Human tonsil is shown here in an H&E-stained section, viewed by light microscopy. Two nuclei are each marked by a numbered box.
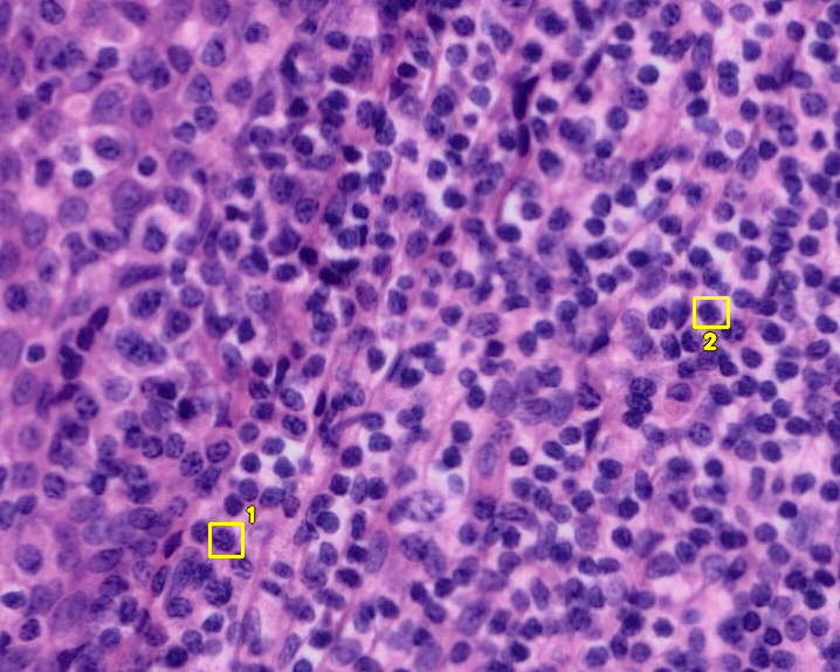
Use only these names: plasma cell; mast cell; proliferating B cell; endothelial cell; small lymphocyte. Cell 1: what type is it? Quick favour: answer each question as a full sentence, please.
The cell assigned the number 1 is a plasma cell.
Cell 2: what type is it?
The cell given label 2 is a small lymphocyte.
